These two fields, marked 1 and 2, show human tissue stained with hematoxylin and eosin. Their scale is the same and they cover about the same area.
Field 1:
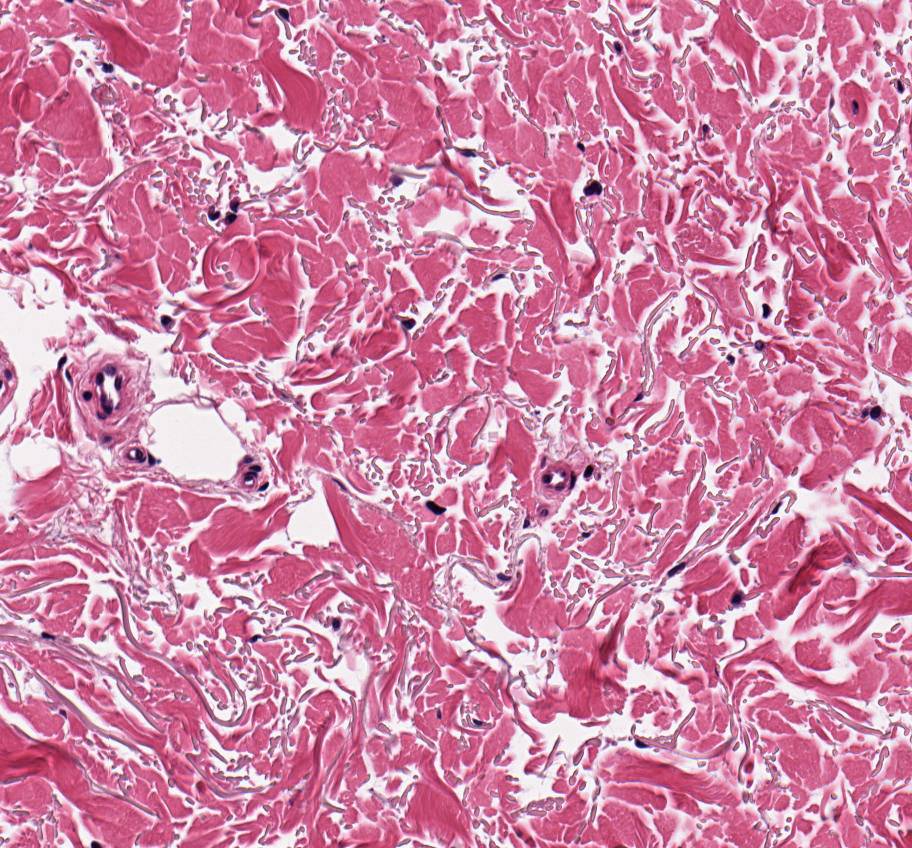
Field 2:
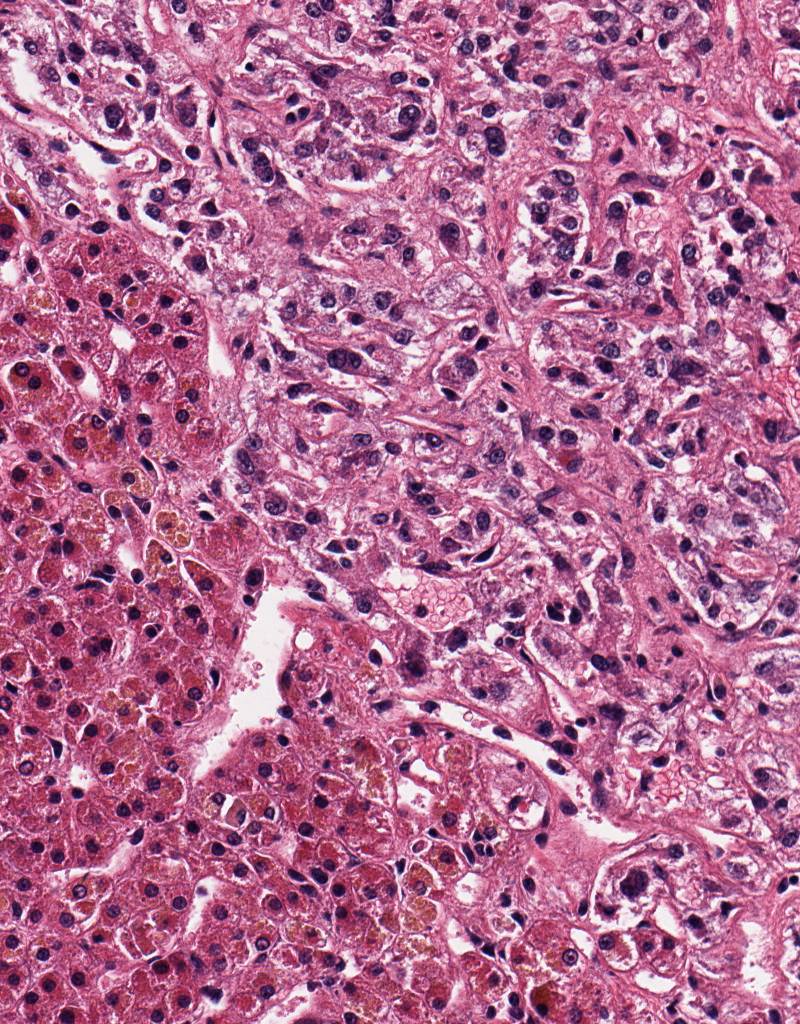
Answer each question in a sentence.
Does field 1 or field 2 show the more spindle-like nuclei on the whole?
The nuclei are more elongated in field 1.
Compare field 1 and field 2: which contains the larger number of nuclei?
More nuclei lie in field 2 than in field 1.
